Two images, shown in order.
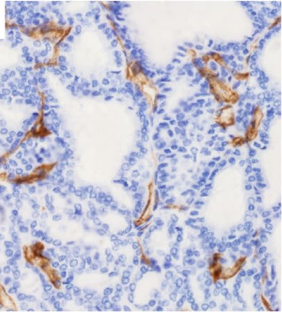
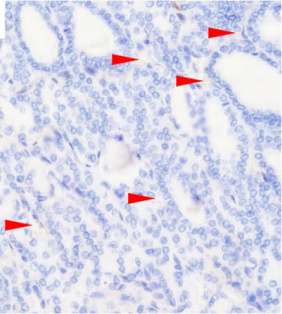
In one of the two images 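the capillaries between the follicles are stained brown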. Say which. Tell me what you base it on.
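The first image. First image: many brown-stained capillaries between the follicles.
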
